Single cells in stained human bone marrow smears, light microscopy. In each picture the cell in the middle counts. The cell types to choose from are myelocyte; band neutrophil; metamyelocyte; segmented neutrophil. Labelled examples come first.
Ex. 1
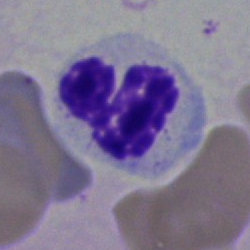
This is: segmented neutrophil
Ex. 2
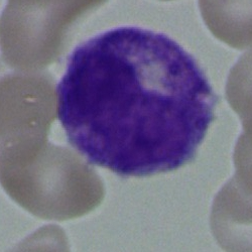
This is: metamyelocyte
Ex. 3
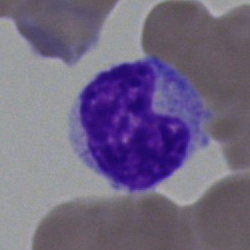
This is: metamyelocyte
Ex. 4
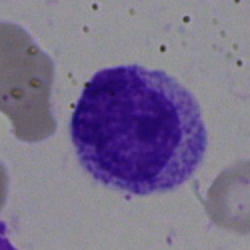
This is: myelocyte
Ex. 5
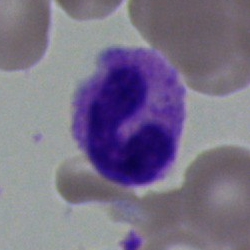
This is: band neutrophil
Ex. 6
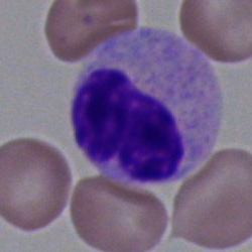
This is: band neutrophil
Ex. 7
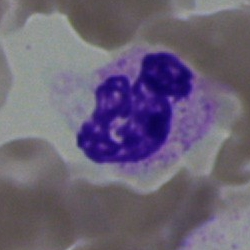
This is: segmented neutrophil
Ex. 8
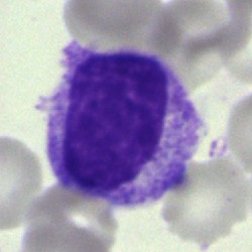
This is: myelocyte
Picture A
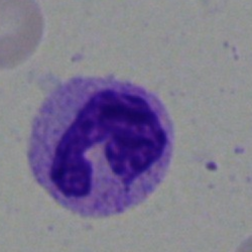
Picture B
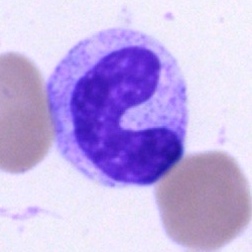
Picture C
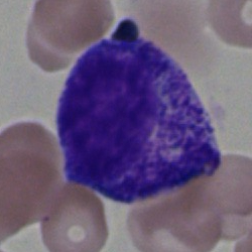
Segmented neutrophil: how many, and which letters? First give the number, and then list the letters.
1: A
